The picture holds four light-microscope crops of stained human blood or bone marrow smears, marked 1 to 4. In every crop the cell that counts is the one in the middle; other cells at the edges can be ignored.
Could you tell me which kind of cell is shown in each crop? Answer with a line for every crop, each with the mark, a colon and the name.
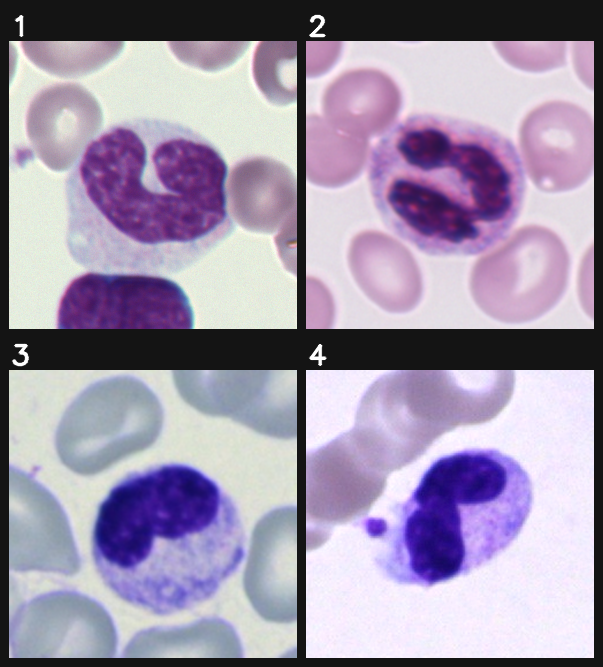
1: band neutrophil
2: segmented neutrophil
3: band neutrophil
4: band neutrophil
